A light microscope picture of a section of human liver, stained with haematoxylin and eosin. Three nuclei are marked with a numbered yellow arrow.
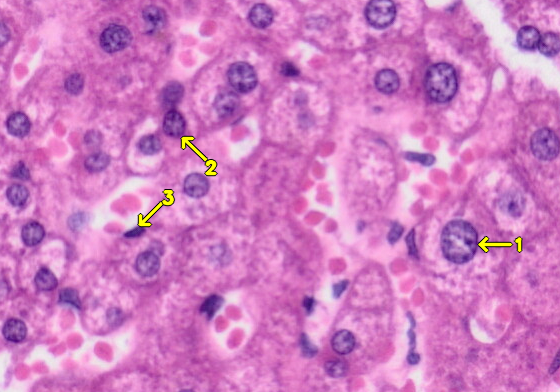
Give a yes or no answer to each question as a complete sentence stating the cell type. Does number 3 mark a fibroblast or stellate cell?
Yes, the marked cell with number 3 is a fibroblast or stellate cell.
